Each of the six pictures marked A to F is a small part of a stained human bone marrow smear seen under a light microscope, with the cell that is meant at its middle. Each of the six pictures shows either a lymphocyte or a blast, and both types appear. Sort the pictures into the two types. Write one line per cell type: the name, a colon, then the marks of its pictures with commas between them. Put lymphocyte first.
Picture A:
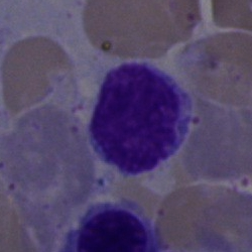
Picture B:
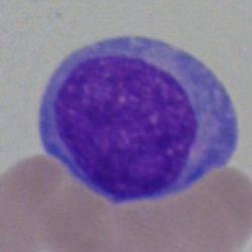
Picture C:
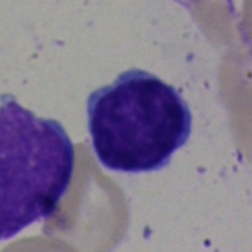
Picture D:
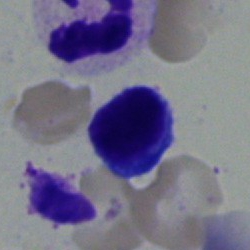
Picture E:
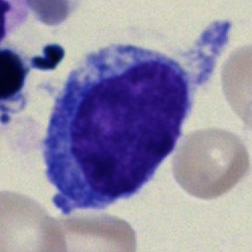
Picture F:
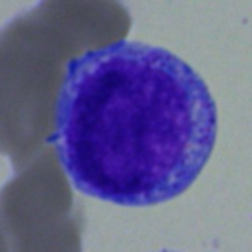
lymphocyte: A, C, D
blast: B, E, F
